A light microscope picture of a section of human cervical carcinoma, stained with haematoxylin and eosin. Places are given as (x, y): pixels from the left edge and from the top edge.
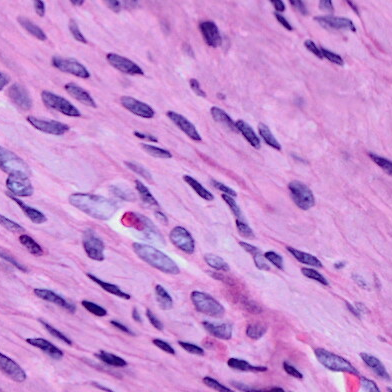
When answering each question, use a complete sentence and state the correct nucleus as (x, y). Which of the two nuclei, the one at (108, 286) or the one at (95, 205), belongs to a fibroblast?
It is at (108, 286) that the nucleus of a fibroblast is found.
